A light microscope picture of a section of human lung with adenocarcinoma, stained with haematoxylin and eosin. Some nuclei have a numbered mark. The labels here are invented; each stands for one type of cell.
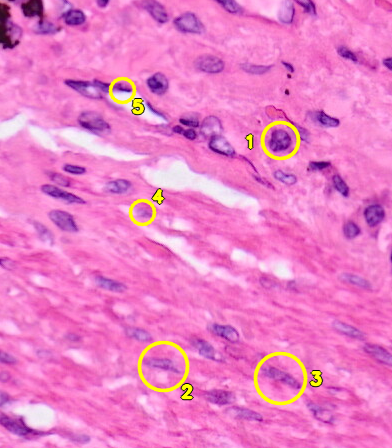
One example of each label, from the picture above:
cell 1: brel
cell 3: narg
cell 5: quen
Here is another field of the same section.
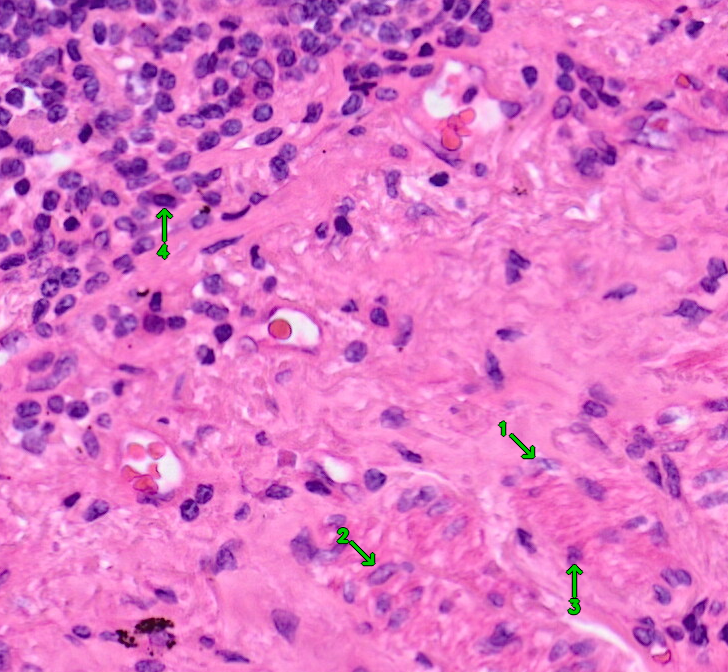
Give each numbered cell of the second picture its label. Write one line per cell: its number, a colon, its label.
1: narg
2: narg
3: narg
4: brel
